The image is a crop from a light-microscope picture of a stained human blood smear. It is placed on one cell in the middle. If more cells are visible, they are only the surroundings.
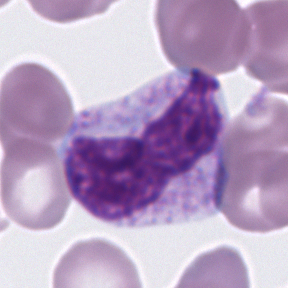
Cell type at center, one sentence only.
As for the cell in the middle, it is a band neutrophil.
